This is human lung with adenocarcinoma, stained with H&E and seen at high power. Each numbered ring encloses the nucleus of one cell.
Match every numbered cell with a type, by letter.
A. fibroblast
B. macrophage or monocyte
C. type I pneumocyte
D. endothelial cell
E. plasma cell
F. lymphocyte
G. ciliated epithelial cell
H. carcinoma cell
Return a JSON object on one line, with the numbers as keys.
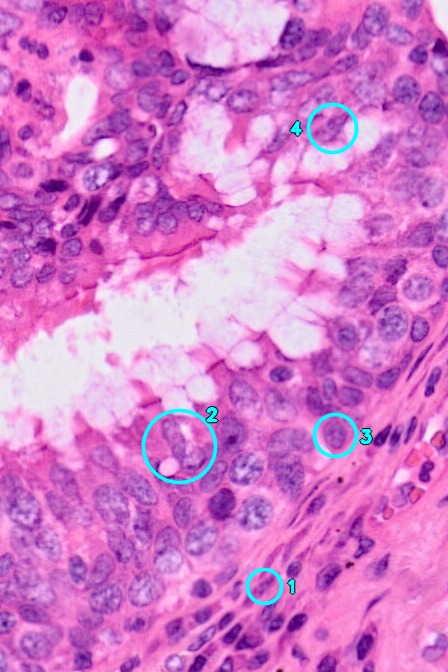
{"1": "E", "2": "G", "3": "G", "4": "G"}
